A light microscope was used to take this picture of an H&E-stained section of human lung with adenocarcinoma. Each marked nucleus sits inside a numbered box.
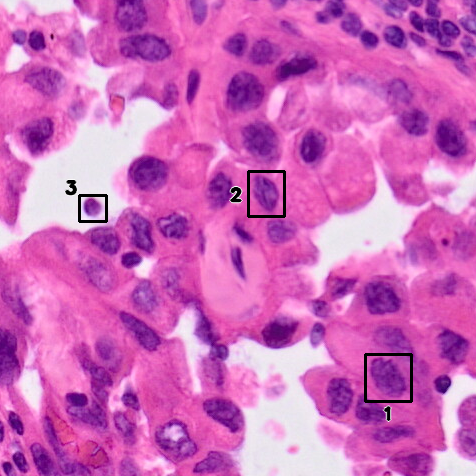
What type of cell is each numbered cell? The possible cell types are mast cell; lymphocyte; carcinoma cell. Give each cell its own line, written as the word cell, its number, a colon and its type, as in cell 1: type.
cell 1: carcinoma cell
cell 2: carcinoma cell
cell 3: lymphocyte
